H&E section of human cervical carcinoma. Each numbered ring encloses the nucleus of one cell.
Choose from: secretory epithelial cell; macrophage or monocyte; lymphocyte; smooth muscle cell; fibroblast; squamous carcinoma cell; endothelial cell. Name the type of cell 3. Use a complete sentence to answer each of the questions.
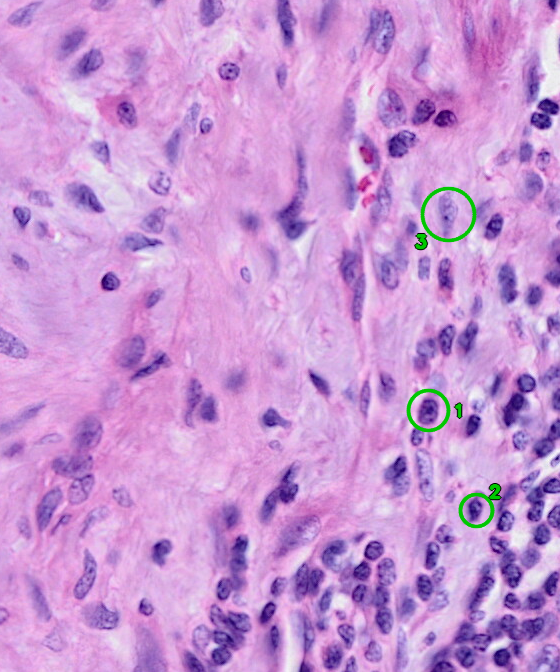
The correct label for cell 3 is a fibroblast.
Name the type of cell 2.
As for number 2, that cell is a lymphocyte.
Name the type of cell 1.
In this section, the cell tagged 1 is a lymphocyte.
